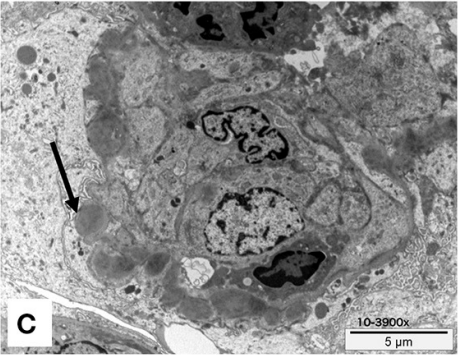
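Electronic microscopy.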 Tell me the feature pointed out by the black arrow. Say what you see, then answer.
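The arrow points to rounded electron-dense masses along the outer side of a capillary wall. The dense masses bulge toward the overlying epithelial cell cytoplasm. On this evidence: humps.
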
